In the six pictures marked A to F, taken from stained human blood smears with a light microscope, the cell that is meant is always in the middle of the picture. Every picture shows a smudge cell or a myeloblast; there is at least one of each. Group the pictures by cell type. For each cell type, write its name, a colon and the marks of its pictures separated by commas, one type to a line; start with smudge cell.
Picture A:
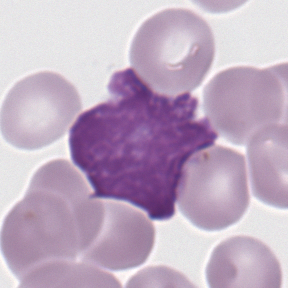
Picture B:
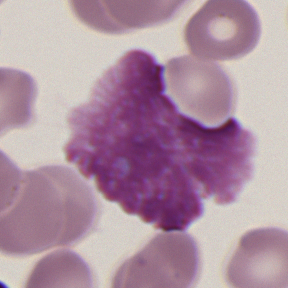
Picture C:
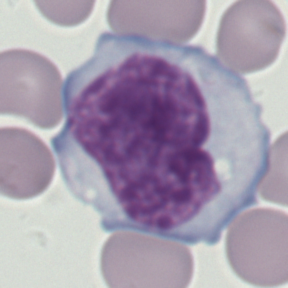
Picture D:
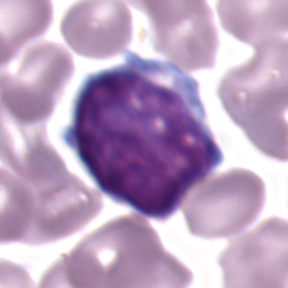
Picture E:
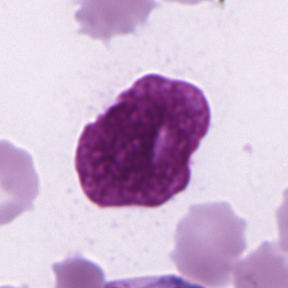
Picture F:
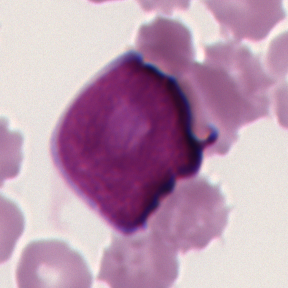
smudge cell: A, B, E
myeloblast: C, D, F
